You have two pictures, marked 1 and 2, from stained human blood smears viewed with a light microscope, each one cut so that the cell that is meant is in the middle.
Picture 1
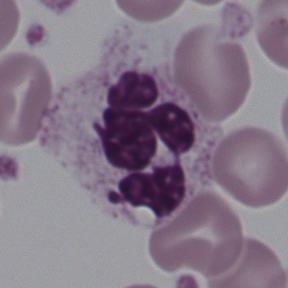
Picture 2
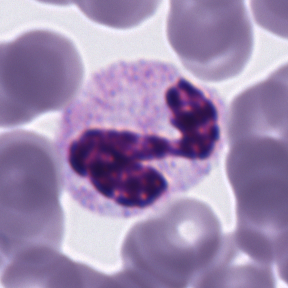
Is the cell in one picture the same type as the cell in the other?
yes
